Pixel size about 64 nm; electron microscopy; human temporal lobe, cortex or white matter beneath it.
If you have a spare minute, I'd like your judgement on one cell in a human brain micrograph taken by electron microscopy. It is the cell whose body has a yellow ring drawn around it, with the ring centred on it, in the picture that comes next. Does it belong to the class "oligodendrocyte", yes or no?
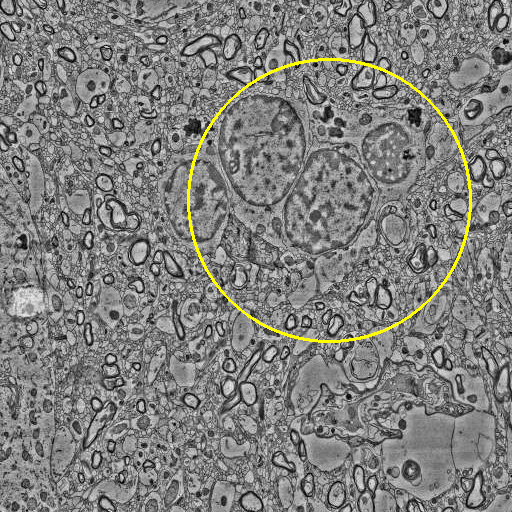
Yes, it belongs to that class.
